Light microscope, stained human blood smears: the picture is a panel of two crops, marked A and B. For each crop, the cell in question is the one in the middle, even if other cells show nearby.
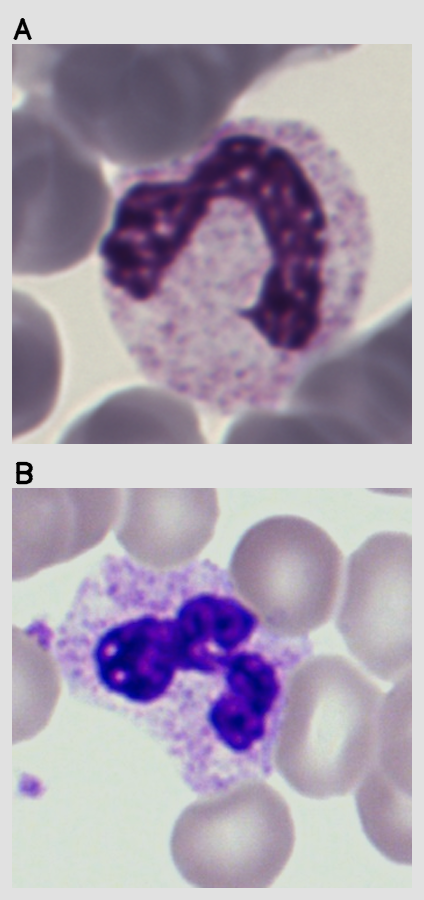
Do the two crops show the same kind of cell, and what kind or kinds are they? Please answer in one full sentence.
Yes, both crops are centred on cells that are segmented neutrophils.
